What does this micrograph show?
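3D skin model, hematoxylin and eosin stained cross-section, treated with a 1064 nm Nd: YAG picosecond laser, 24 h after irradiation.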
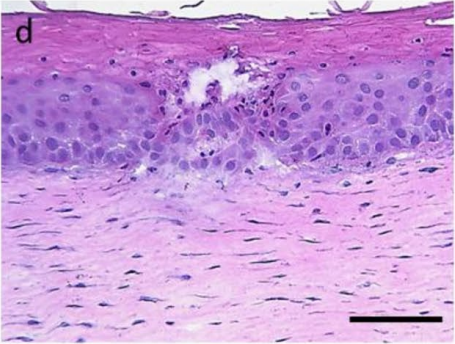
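Epidermal equivalent over a pale pink dermal layer with scattered spindle-shaped fibroblasts, showing an irregular empty vacuole in the upper epidermis beneath the pink cornified layer. Keratinocytes around the vacuole are disordered, with crowded dark purple nuclei, and the basal row beneath it is less regular than at the sides.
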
